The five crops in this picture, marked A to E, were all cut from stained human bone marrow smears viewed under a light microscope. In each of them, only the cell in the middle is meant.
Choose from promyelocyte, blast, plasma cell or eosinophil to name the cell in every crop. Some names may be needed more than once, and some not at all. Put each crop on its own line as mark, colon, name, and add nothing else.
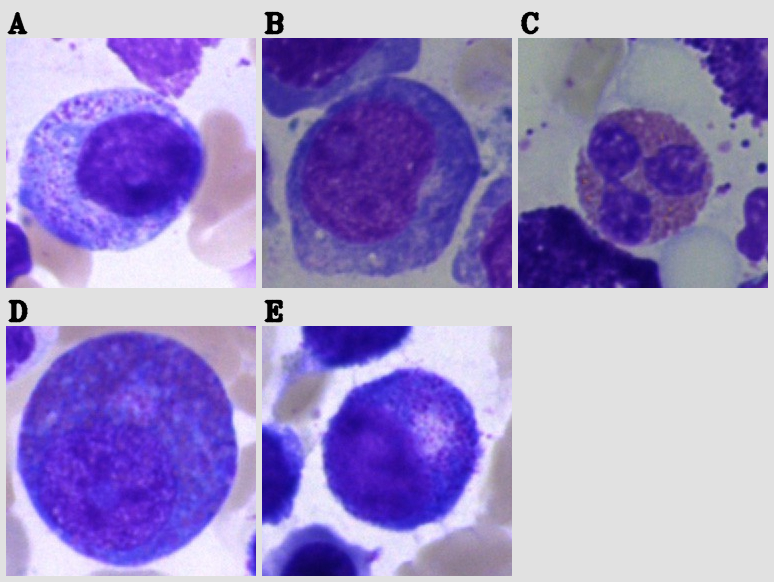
A: promyelocyte
B: blast
C: eosinophil
D: eosinophil
E: promyelocyte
